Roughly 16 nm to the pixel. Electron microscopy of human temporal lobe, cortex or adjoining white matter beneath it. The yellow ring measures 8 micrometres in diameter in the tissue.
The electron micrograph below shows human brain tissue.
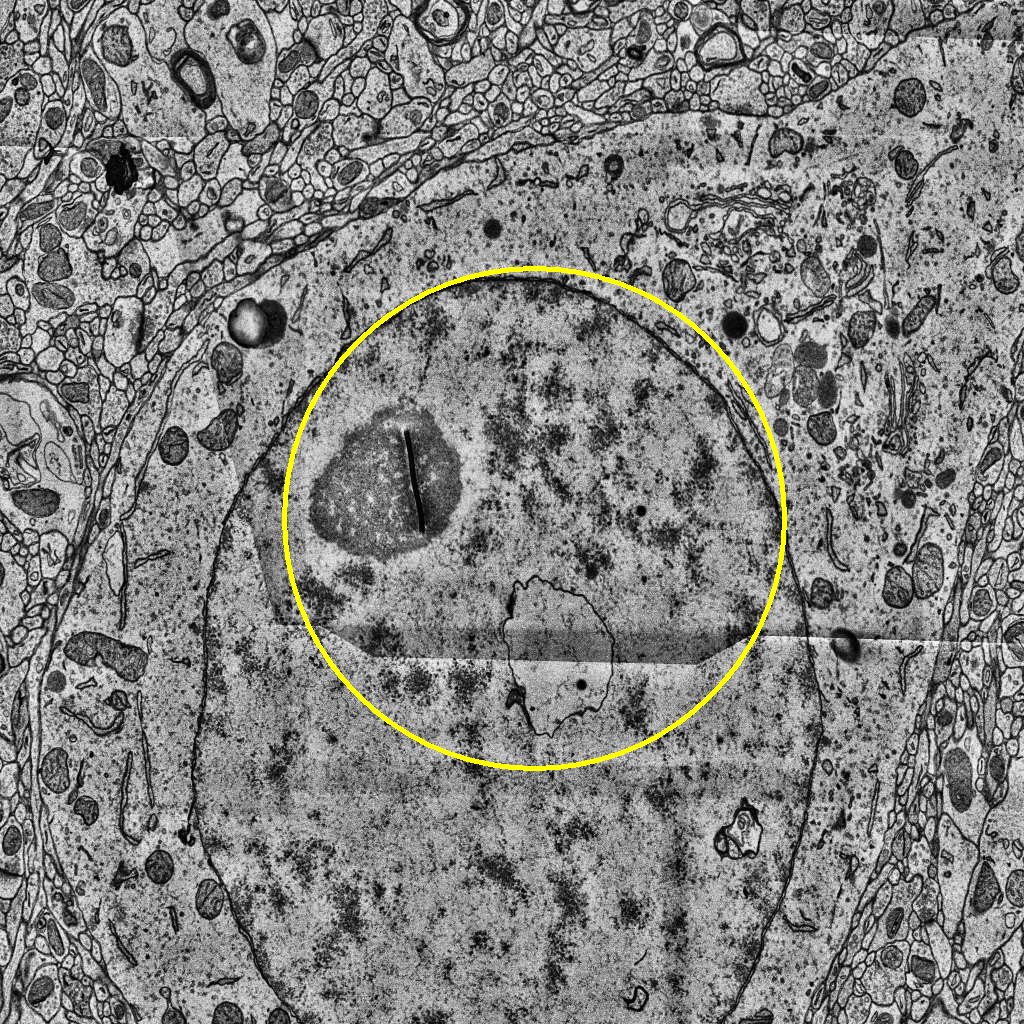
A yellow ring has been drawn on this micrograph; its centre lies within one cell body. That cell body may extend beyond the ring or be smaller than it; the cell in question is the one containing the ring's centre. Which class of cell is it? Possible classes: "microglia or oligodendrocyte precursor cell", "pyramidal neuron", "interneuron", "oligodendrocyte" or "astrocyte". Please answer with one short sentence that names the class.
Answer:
In the centre of the ring sits a pyramidal neuron.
